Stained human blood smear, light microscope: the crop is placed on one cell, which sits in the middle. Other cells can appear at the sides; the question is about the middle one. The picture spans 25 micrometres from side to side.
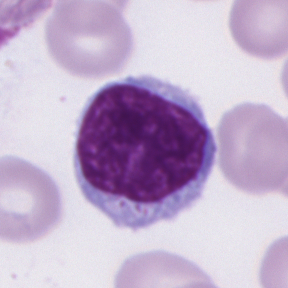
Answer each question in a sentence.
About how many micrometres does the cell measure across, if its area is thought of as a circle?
About 13 micrometres: that is the cell's diameter.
